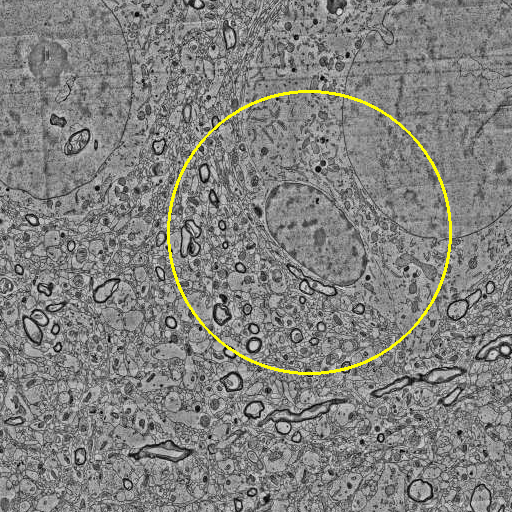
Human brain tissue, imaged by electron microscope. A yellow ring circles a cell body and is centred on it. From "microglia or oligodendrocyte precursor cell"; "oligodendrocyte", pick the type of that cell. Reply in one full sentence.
The cell body at the centre of the yellow ring belongs to a microglial cell or oligodendrocyte precursor cell.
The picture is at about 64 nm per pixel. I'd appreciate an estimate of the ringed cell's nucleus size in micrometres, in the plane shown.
Roughly 8 by 4 micrometres; in this plane, clearly longer than it is wide.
